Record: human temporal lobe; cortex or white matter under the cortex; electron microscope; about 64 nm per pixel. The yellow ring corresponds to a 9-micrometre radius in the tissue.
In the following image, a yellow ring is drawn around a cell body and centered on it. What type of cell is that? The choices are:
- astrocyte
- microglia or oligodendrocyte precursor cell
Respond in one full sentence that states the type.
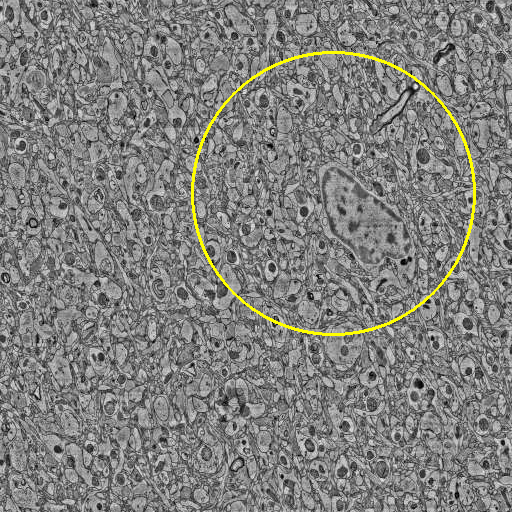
The cell at the center of the yellow ring in the image is a microglial cell or oligodendrocyte precursor cell.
